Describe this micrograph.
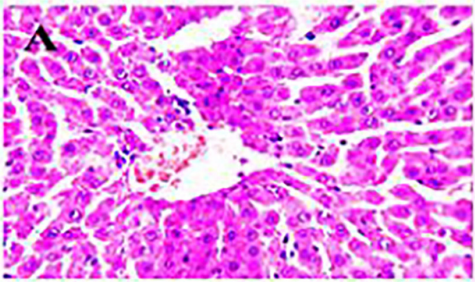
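This is liver tissue in which polygonal hepatocytes with pink cytoplasm and round, centrally placed purple nuclei are arranged in cords. The cords radiate around a central vessel that contains red blood cells. Narrow clear sinusoidal spaces separate the cords, and a few small dark flattened nuclei lie along them.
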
